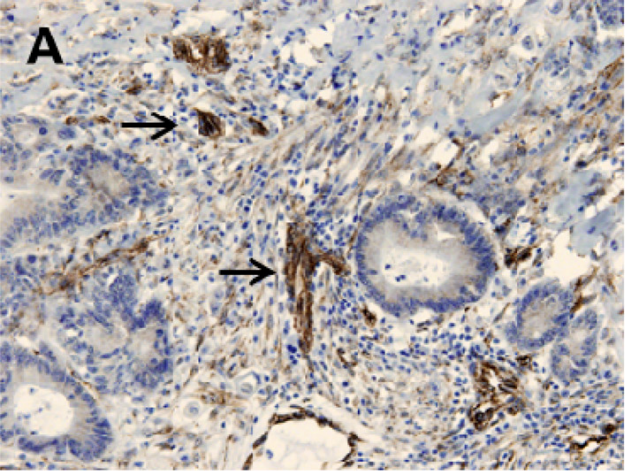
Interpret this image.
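Tumour tissue with glands lined by tall epithelial cells with blue nuclei, set in a cellular stroma with many small blue nuclei. Brown staining lies in elongated cells within the stroma that line narrow channels between the glands, while the gland epithelium stays blue. Fainter brown threads run among the spindle-shaped stromal cells.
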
